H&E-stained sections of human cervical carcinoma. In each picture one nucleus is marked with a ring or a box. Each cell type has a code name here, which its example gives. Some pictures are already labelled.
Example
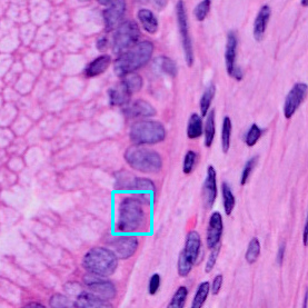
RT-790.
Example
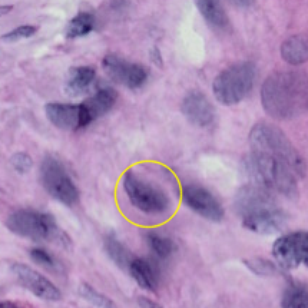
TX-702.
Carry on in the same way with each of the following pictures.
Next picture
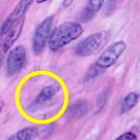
TX-702.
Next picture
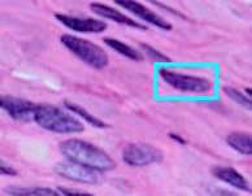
TX-702.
